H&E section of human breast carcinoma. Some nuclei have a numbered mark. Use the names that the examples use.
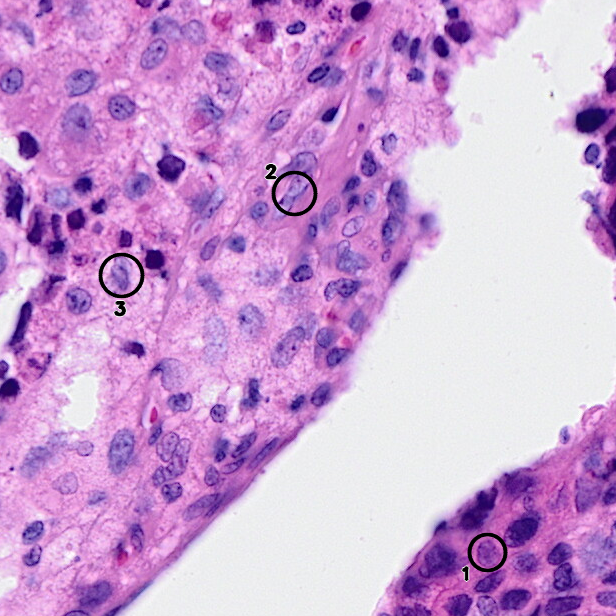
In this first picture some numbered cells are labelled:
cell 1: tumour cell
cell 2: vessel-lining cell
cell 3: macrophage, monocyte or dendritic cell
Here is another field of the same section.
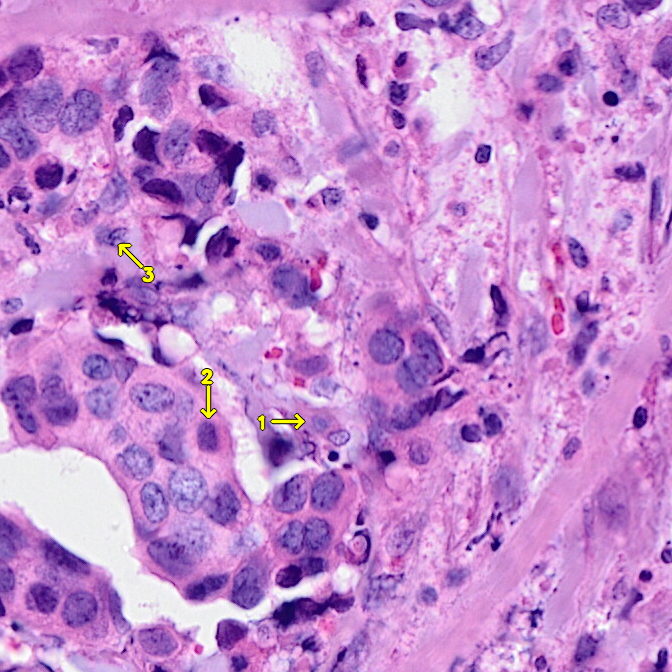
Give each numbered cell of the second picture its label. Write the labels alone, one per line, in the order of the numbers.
vessel-lining cell
tumour cell
macrophage, monocyte or dendritic cell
